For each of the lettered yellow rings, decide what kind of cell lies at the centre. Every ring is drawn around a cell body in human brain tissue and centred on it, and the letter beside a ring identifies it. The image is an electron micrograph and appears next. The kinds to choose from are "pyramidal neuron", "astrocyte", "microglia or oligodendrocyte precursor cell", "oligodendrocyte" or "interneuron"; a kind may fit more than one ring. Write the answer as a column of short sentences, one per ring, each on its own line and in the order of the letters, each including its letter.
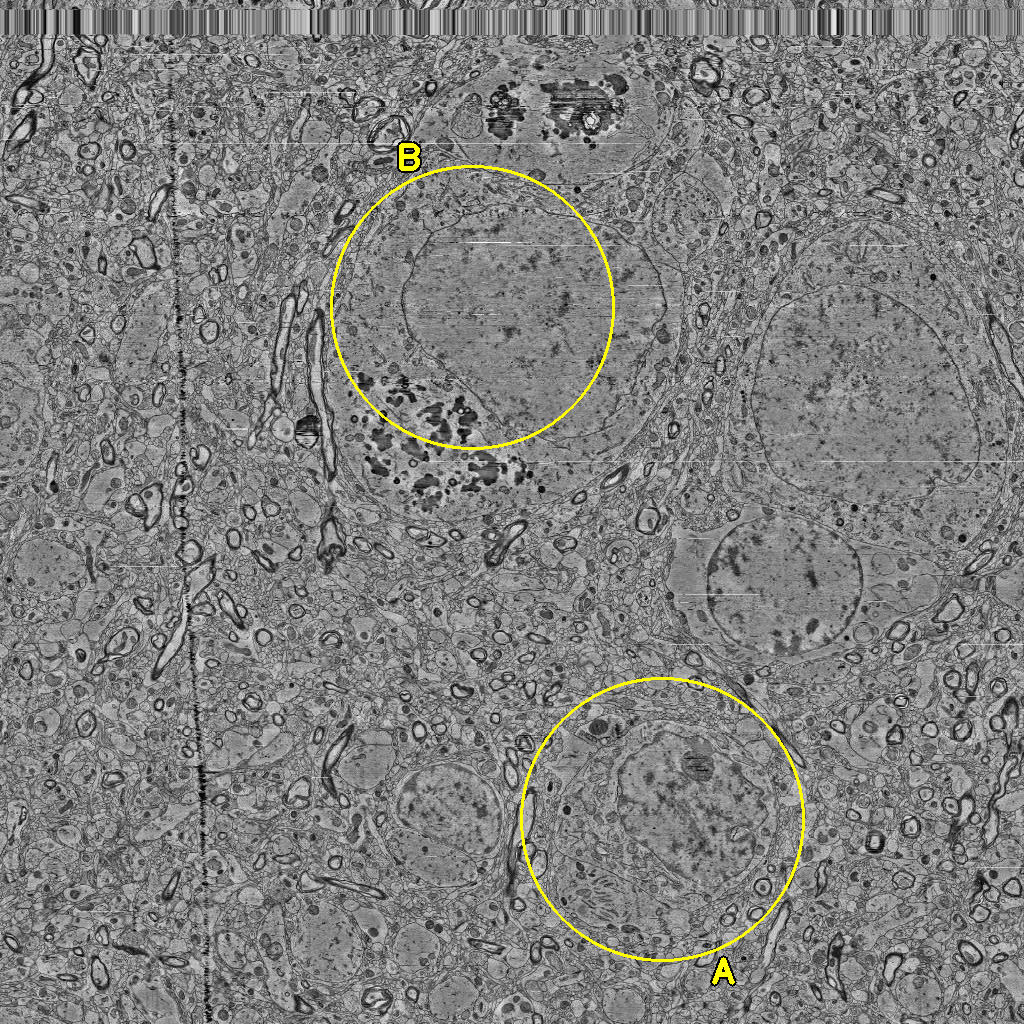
In the centre of ring A lies an interneuron.
In the centre of ring B lies a pyramidal neuron.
